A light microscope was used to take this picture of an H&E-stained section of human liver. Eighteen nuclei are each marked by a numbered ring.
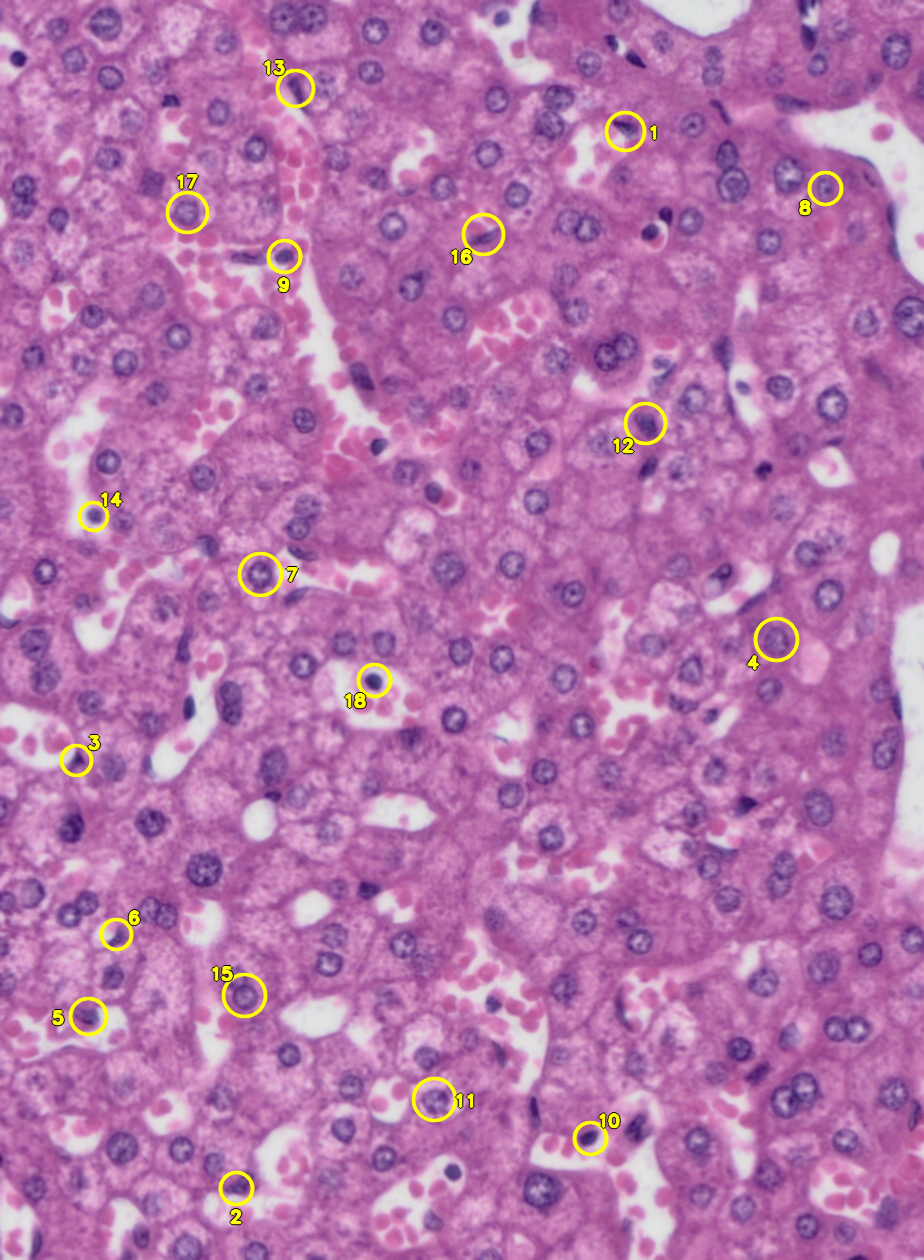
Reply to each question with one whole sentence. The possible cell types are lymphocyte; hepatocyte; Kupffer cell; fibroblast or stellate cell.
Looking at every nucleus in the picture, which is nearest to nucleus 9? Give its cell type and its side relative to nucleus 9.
Just to the left of nucleus 9 lies the nearest nucleus, which belongs to a Kupffer cell.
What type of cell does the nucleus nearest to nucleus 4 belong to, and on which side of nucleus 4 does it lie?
The nearest nucleus is that of a hepatocyte and lies above and to the left of nucleus 4.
